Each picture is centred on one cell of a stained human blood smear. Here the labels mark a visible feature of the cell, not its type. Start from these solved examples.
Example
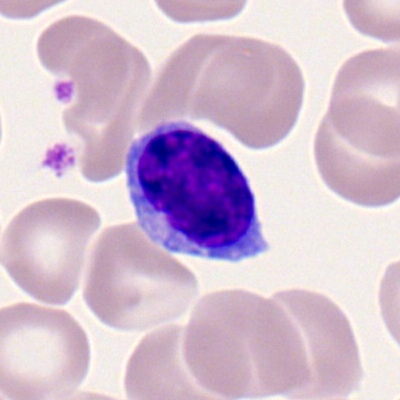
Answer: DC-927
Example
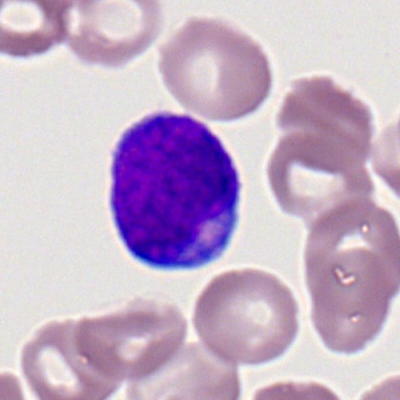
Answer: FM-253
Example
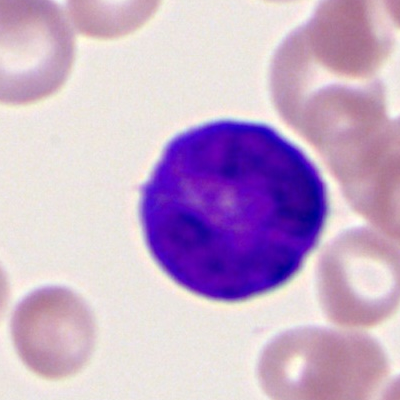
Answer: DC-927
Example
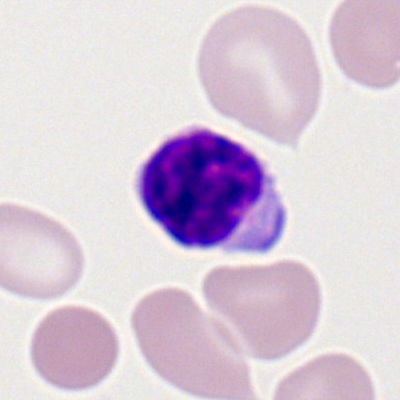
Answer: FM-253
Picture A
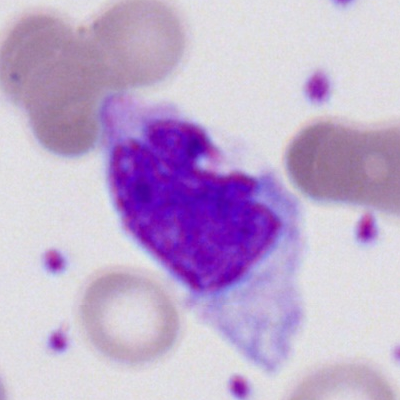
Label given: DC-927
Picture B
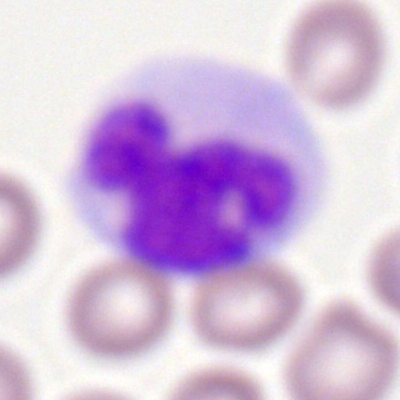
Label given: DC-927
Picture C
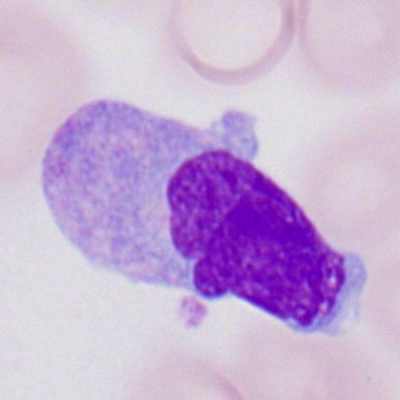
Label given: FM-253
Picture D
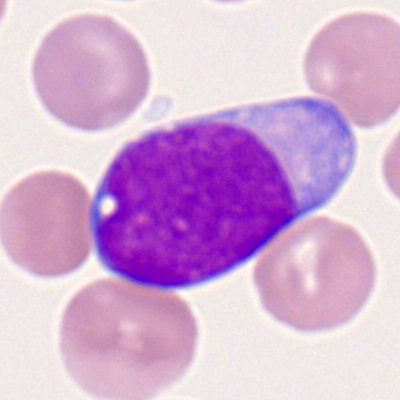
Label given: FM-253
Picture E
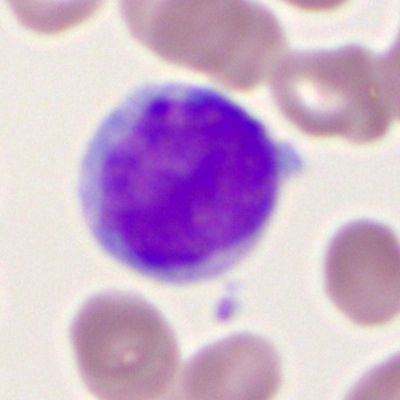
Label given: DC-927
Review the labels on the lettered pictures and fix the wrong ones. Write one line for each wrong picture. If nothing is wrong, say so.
Wrong: B (DC-927); correct: FM-253
Wrong: C (FM-253); correct: DC-927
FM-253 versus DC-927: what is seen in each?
Seen in FM-253: smooth outline; seen in DC-927: ragged outline or projections.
